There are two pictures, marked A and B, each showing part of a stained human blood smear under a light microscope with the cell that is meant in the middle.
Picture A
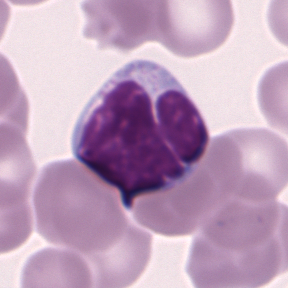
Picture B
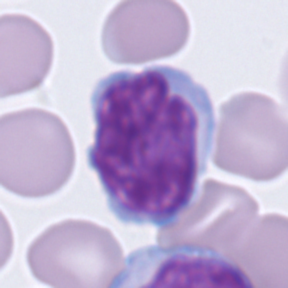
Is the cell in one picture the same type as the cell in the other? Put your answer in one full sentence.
No; the cell in picture A is a large granular lymphocyte, while the one in picture B is a myeloblast.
